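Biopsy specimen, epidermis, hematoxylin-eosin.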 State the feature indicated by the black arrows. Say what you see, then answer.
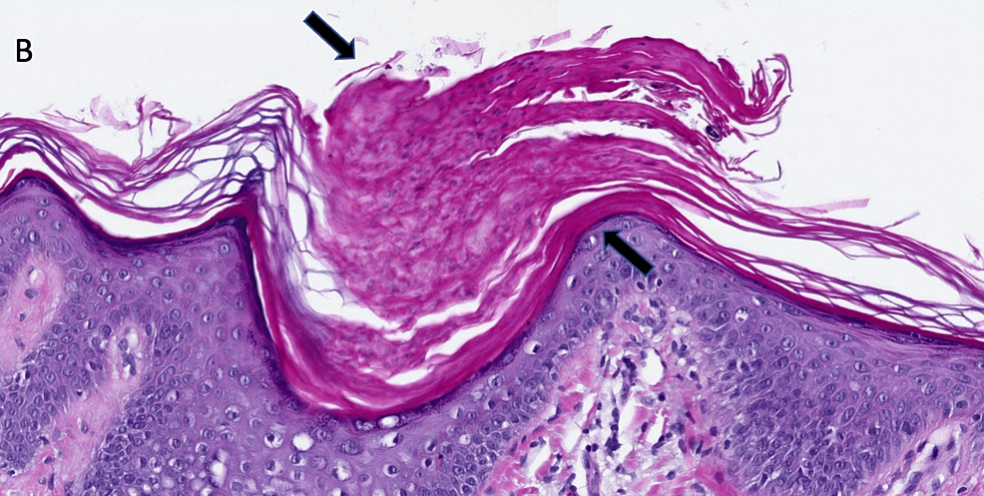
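A tilted column of compact pink keratin rises from a notch in the epidermis. The column contains small retained dark nuclei, unlike the loose flaky stratum corneum beside it.
Cornoid lamellae.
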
